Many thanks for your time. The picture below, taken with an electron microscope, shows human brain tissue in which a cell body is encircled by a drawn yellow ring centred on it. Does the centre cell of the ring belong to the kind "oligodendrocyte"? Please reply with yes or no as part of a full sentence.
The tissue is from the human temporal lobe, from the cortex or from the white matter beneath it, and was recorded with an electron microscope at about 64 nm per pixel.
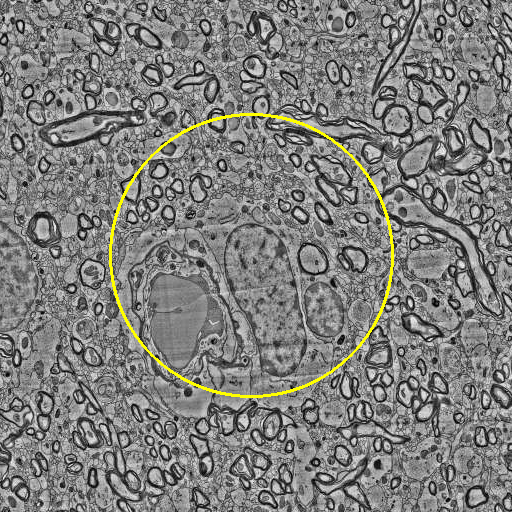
No, in the picture the cell at the ring's centre is of some different kind.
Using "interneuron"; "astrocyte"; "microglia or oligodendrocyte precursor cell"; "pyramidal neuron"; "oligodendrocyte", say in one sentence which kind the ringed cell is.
So the cell at the centre is a microglial cell or oligodendrocyte precursor cell.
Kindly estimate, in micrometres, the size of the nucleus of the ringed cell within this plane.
The nucleus is about 8 micrometres in length and 4 in width, clearly longer than it is wide in this plane.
